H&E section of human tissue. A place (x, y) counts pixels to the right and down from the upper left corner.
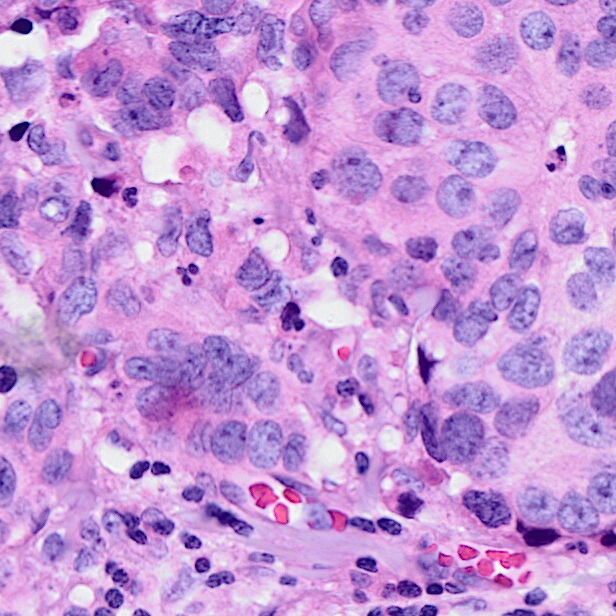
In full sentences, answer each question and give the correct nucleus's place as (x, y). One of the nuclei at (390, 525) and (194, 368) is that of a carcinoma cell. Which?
The one belonging to a carcinoma cell is the nucleus at (194, 368), not the other.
